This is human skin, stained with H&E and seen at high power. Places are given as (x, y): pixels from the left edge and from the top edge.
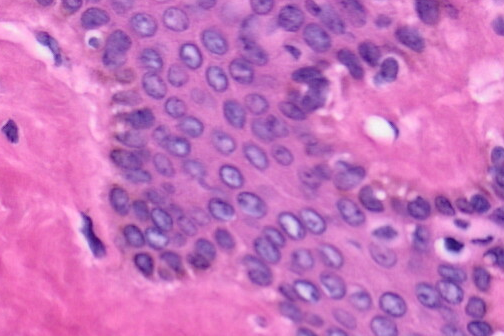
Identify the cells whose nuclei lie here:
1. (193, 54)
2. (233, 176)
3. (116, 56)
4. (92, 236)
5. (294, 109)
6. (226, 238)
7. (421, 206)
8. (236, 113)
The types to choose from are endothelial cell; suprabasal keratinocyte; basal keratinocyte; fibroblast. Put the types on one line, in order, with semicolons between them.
suprabasal keratinocyte; suprabasal keratinocyte; basal keratinocyte; fibroblast; basal keratinocyte; basal keratinocyte; basal keratinocyte; suprabasal keratinocyte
